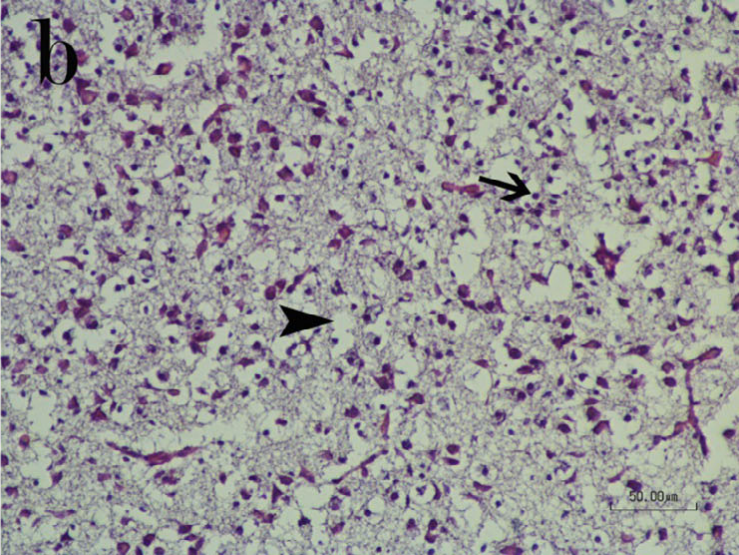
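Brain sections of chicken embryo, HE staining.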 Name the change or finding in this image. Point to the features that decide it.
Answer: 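The background between cells is a loose meshwork of thin pink strands. Numerous small empty vacuoles are scattered across the whole field.
Status spongiosus appearance.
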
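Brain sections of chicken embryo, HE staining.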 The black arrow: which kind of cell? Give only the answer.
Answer: Glial cells.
